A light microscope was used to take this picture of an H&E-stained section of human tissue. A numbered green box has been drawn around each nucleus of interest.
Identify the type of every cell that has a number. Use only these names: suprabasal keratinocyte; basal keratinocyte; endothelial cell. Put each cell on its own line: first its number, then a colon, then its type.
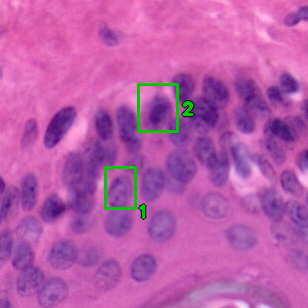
1: suprabasal keratinocyte
2: basal keratinocyte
